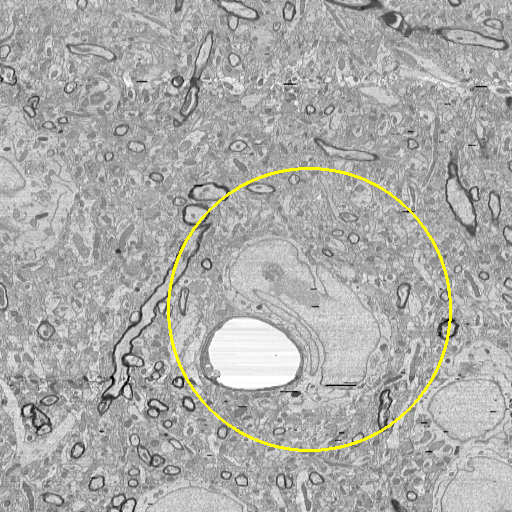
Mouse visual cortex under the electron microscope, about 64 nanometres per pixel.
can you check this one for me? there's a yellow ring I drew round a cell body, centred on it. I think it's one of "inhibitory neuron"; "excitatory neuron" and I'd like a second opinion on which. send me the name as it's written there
inhibitory neuron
